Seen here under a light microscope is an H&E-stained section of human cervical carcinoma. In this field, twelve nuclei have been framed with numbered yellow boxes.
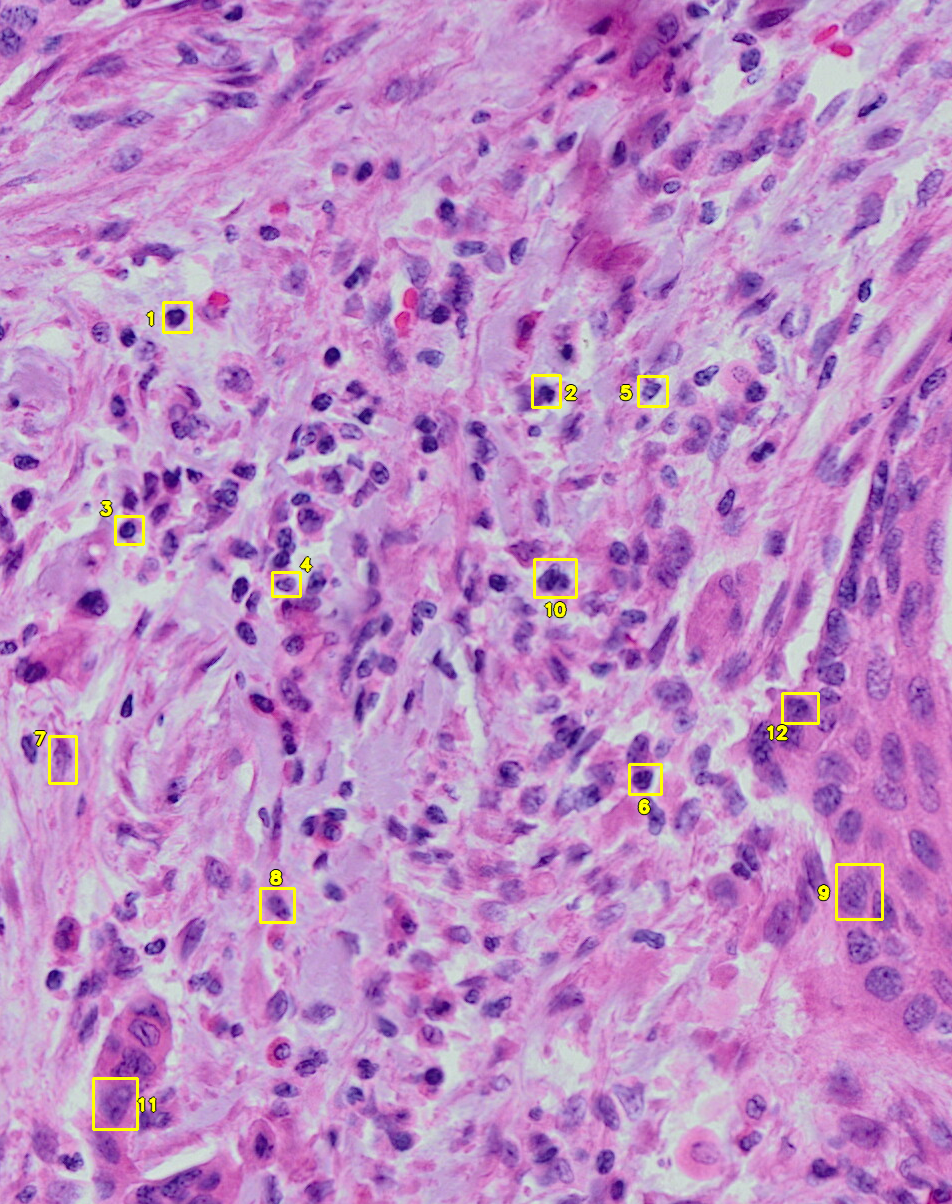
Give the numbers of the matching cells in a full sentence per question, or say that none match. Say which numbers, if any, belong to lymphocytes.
Cells 1, 2, 3, 4, 5, 6 and 10 share one type; they are lymphocytes.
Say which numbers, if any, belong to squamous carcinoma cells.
On this slide, the cells numbered 9, 11 and 12 are squamous carcinoma cells.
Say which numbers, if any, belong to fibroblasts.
Within the set of numbered cells, only number 7 is a fibroblast.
